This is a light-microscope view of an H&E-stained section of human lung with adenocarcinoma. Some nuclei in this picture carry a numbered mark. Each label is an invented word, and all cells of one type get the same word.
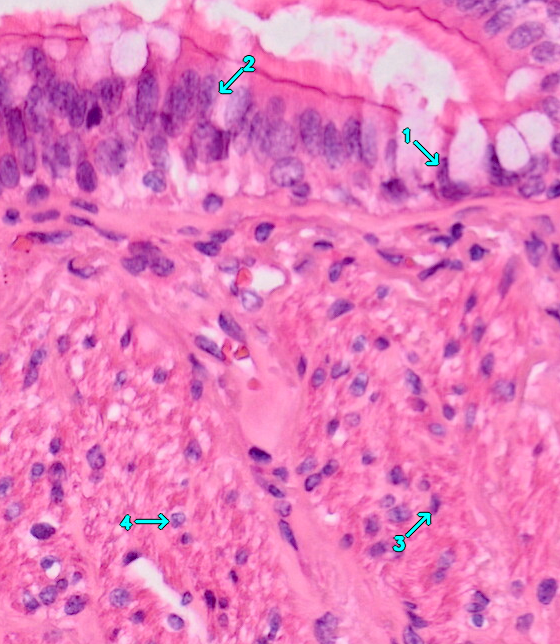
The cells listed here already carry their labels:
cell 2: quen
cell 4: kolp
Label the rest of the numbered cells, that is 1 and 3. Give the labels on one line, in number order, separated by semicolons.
quen; kolp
